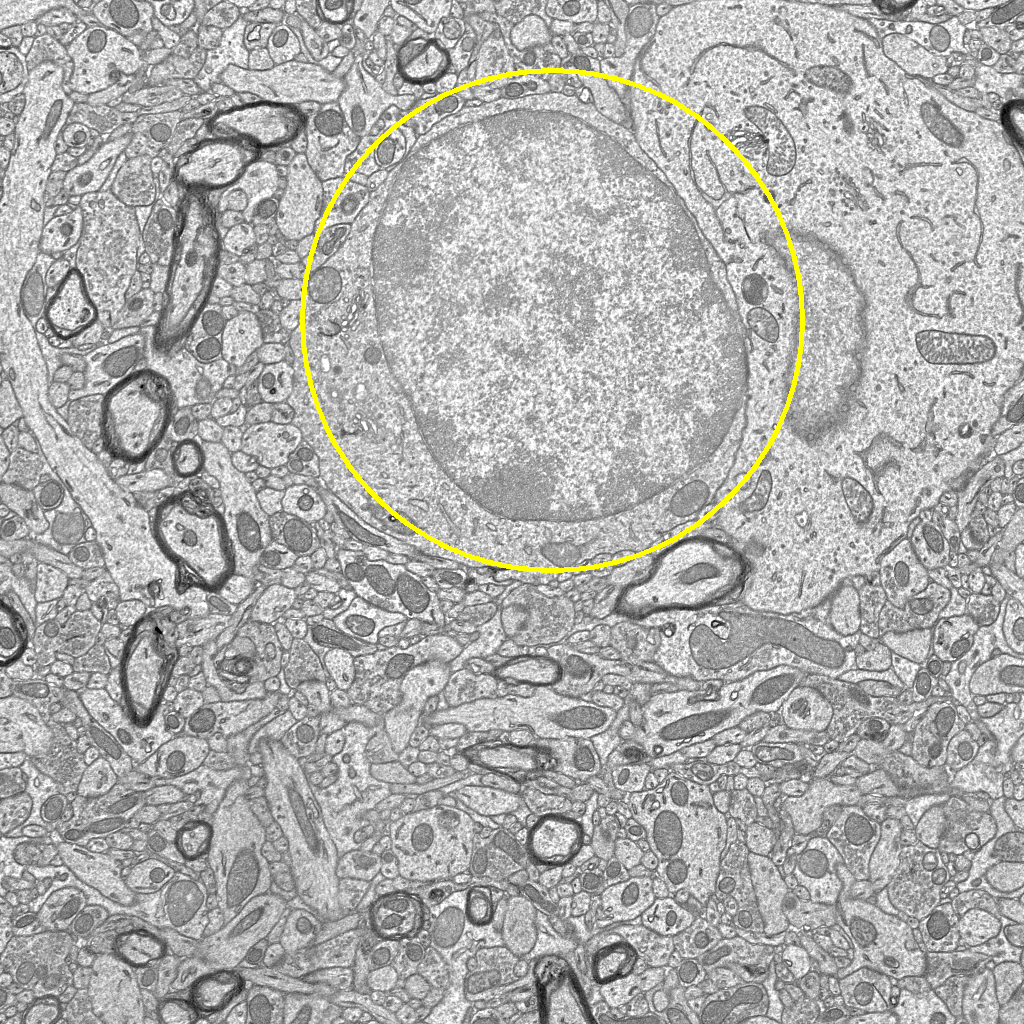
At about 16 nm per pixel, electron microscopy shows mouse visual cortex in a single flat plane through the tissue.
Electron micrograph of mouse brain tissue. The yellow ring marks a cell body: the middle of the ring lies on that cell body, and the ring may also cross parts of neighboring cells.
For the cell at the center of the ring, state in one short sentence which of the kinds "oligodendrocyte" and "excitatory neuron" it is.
This ring's center lies on an oligodendrocyte.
